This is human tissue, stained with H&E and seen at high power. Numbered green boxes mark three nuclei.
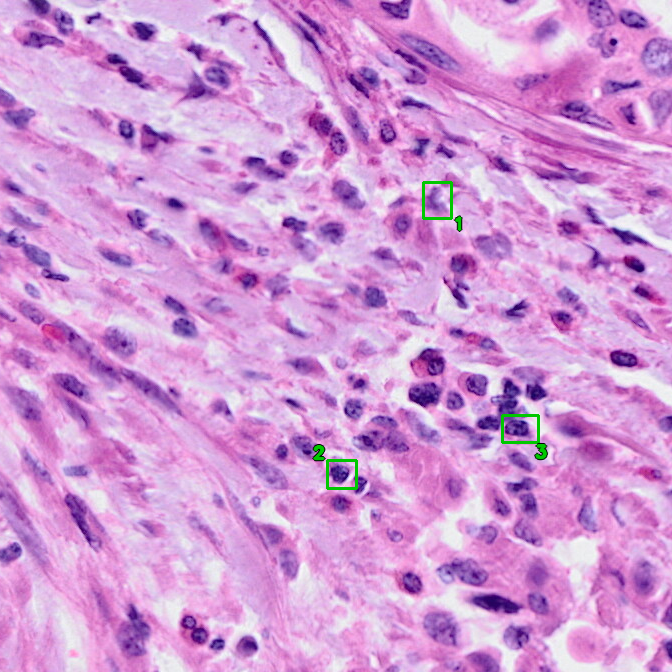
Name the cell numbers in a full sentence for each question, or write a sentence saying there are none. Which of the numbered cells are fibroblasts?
Just one numbered cell is a fibroblast, and that cell is number 1.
